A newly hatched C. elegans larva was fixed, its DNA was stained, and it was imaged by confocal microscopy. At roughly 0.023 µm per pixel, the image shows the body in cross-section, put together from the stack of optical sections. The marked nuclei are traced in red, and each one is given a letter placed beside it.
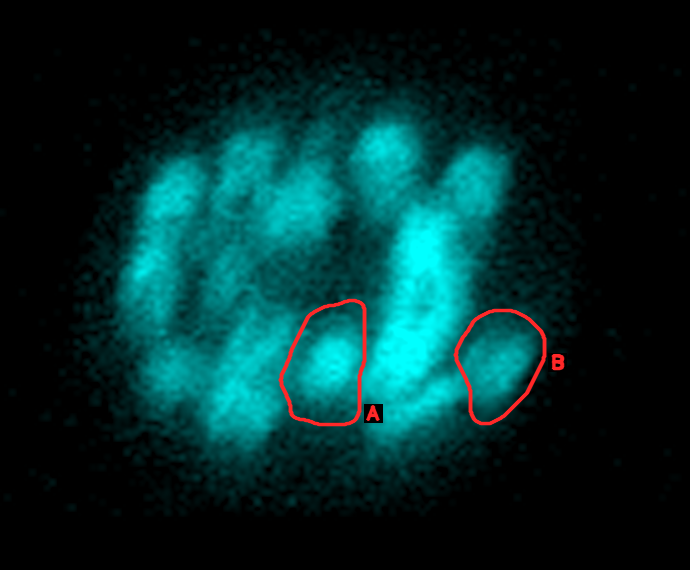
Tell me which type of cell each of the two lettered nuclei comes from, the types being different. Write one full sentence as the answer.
A is the nucleus of a pharyngeal muscle cell; B is the nucleus of a body wall muscle cell.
